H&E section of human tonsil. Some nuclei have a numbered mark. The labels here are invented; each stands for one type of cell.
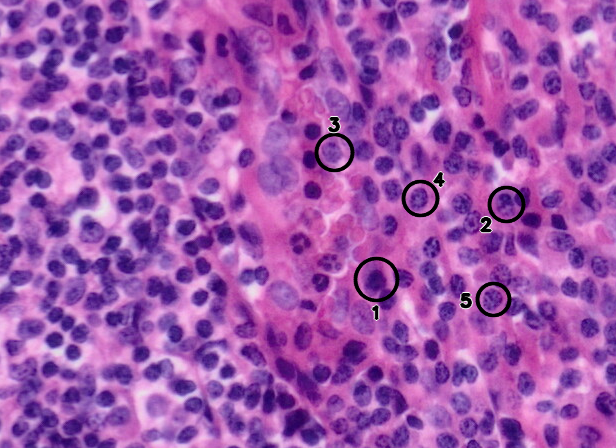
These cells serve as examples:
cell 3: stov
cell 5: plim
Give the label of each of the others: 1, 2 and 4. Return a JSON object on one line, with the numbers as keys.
{"1": "stov", "2": "plim", "4": "plim"}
